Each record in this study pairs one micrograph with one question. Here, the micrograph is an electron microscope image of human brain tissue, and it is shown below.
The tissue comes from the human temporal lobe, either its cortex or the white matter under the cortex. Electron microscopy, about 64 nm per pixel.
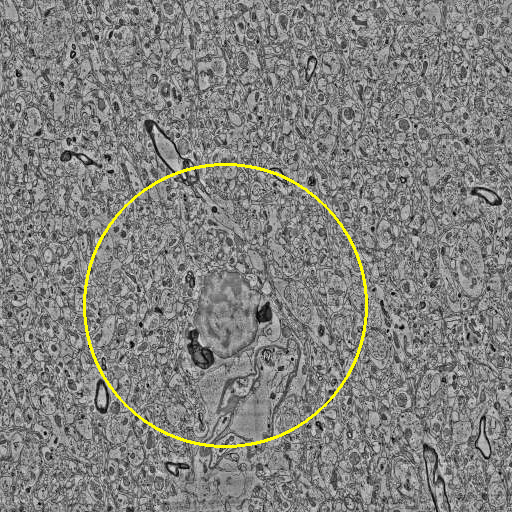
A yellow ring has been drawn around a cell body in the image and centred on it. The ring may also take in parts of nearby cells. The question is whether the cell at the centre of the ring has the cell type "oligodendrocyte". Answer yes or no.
yes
